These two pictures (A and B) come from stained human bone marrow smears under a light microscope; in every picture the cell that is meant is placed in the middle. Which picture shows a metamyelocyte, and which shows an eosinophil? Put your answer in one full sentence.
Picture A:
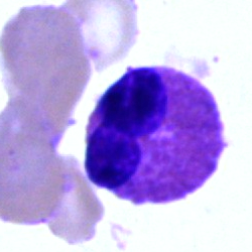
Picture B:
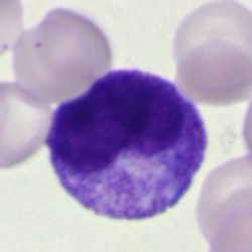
Picture A shows an eosinophil and picture B shows a metamyelocyte.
